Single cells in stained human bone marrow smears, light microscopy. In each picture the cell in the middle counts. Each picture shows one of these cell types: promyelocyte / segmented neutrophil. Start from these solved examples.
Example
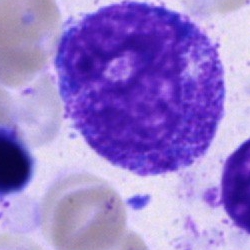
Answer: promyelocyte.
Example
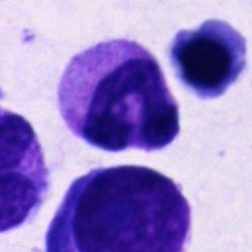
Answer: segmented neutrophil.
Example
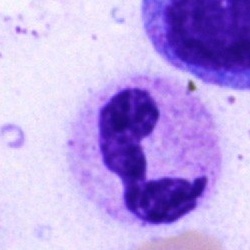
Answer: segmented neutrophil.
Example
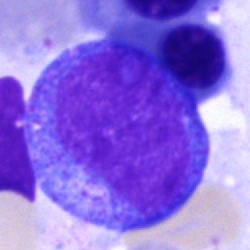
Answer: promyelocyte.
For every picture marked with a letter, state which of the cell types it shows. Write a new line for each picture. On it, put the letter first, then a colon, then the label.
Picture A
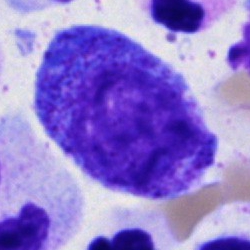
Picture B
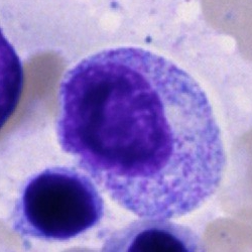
A: promyelocyte.
B: promyelocyte.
